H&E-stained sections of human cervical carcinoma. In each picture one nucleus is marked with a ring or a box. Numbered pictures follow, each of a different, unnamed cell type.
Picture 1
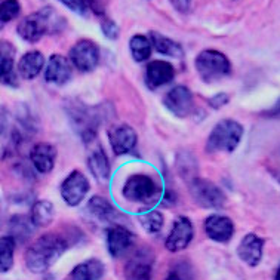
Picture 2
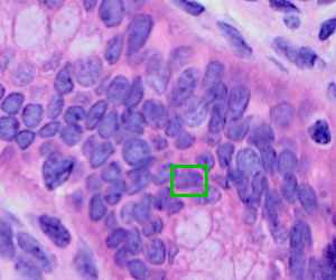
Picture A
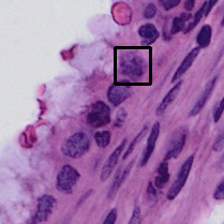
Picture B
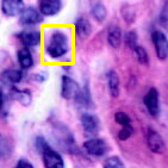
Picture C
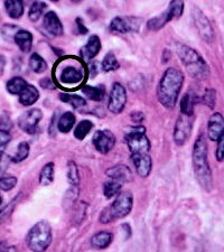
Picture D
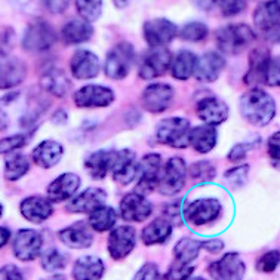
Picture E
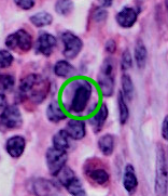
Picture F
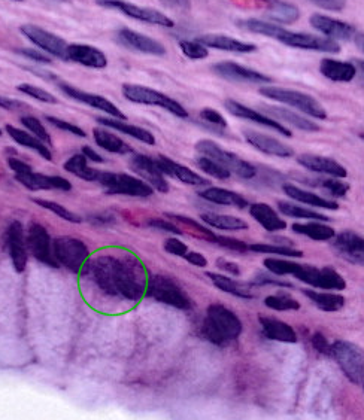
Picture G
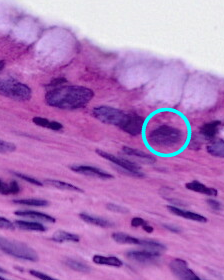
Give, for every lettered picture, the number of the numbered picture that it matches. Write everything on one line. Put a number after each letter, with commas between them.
A 2, B 1, C 1, D 1, E 1, F 2, G 2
